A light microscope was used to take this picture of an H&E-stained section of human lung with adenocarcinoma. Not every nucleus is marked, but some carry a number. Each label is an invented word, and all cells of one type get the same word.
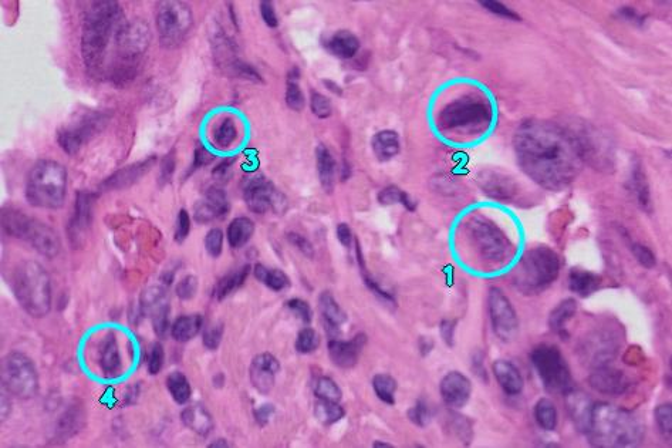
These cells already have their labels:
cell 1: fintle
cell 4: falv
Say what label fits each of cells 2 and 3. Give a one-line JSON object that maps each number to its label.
{"2": "fintle", "3": "falv"}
